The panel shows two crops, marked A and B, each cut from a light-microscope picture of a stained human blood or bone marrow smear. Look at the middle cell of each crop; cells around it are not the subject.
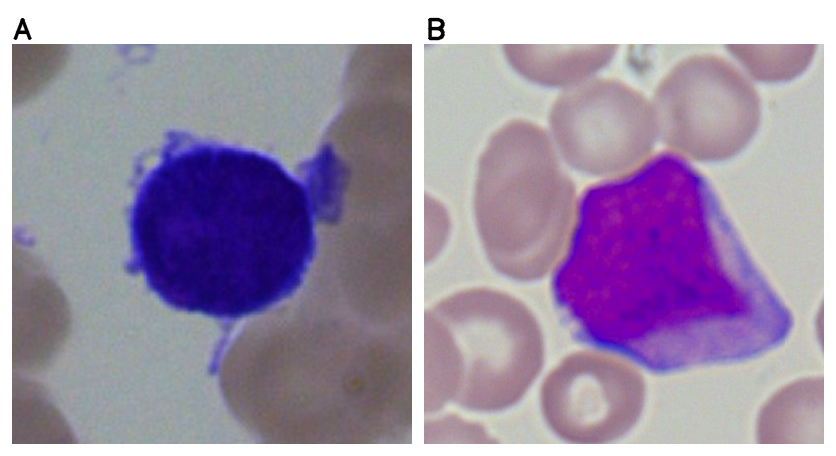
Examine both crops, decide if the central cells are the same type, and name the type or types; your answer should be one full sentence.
Yes, both crops have blasts at the centre.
